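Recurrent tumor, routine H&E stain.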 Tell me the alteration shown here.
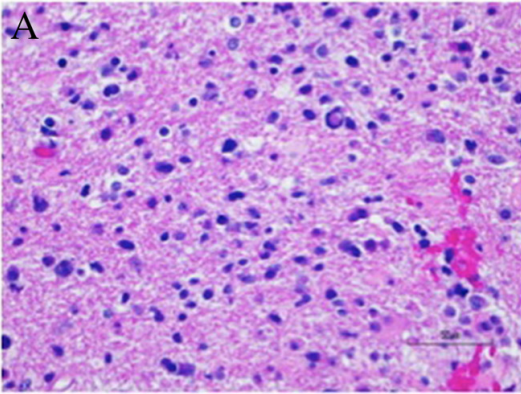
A: hypercellularity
